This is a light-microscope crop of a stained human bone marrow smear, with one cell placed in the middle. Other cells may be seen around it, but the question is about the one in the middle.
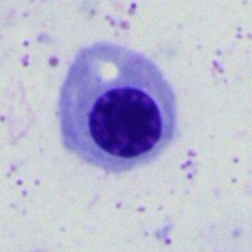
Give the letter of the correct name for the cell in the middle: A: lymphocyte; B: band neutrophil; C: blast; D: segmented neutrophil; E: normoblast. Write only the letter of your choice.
E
